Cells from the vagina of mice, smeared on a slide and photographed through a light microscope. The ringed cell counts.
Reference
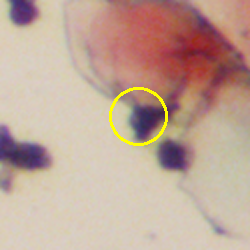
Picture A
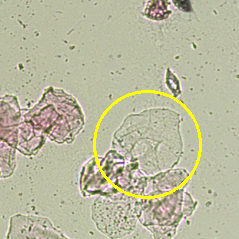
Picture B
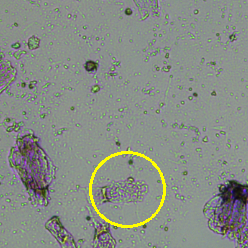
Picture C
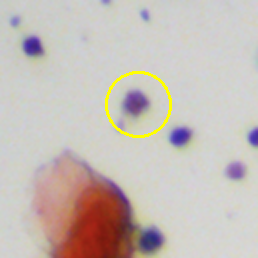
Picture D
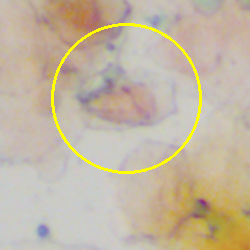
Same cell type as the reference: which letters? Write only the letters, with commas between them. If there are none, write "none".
C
